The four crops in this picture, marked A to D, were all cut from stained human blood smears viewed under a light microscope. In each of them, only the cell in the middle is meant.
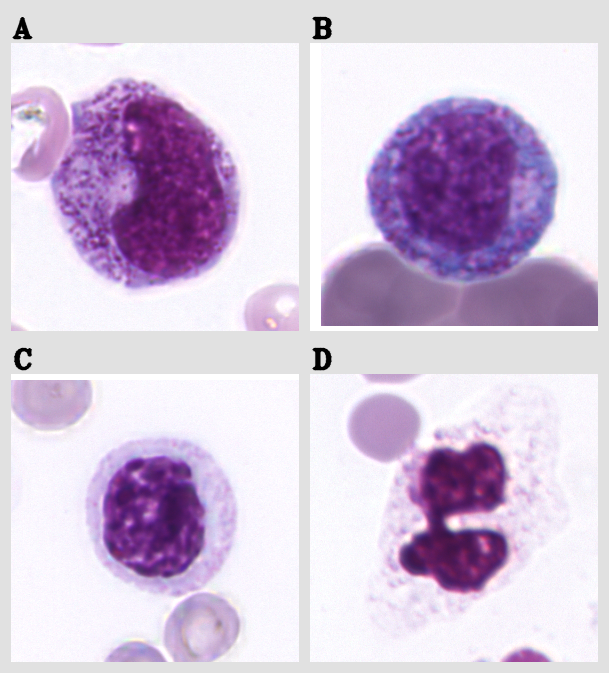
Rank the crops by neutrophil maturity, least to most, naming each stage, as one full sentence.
Ordering these by maturity, least mature first, yields crop B (a promyelocyte), crop A (a myelocyte), crop C (a metamyelocyte) and crop D (a segmented neutrophil).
